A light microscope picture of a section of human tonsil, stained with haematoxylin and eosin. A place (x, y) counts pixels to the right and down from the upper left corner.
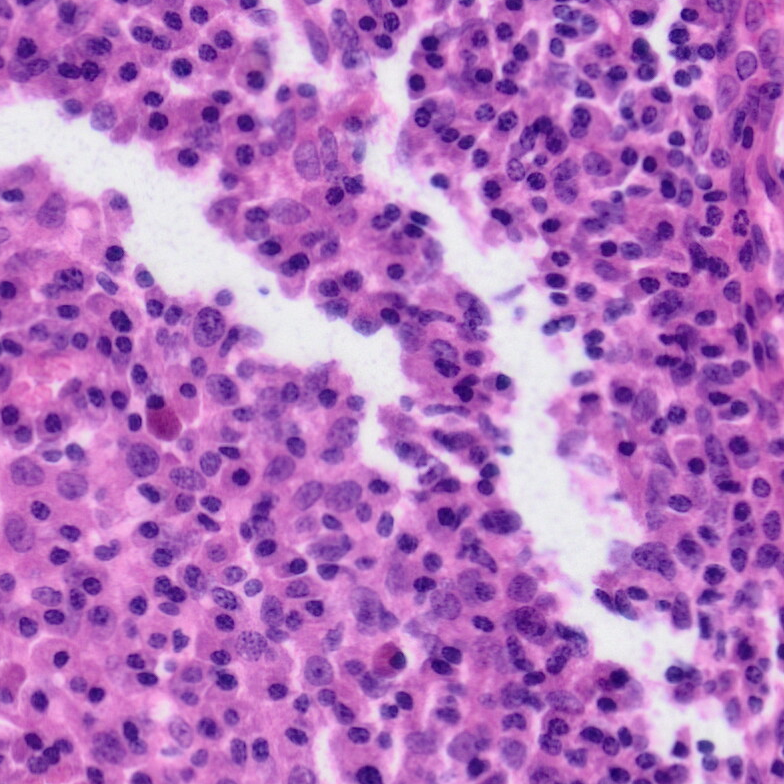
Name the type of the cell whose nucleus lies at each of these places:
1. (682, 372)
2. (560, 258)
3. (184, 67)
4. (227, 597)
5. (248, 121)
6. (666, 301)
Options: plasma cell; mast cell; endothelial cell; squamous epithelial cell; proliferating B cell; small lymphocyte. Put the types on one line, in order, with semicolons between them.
squamous epithelial cell; plasma cell; plasma cell; plasma cell; plasma cell; squamous epithelial cell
